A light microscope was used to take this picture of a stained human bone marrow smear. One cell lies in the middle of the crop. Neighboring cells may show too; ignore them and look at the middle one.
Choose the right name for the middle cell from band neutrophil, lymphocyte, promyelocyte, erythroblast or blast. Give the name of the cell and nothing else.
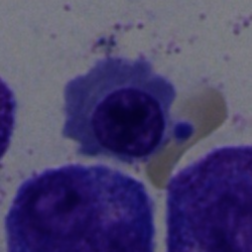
erythroblast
